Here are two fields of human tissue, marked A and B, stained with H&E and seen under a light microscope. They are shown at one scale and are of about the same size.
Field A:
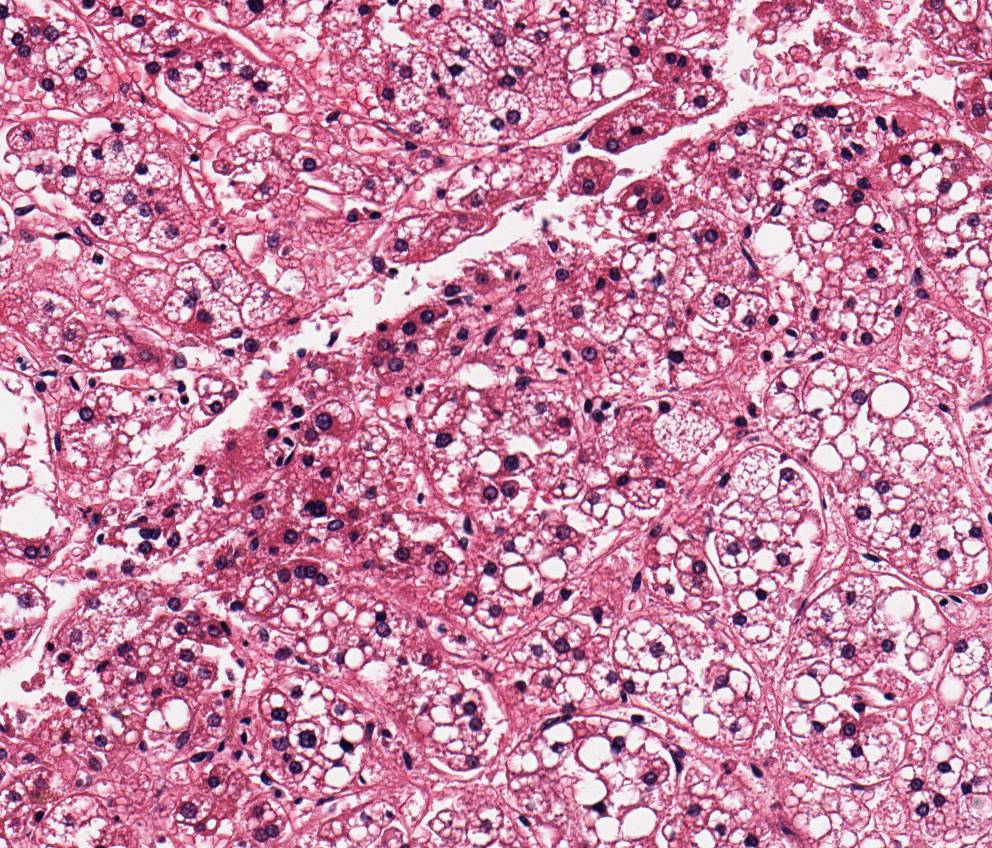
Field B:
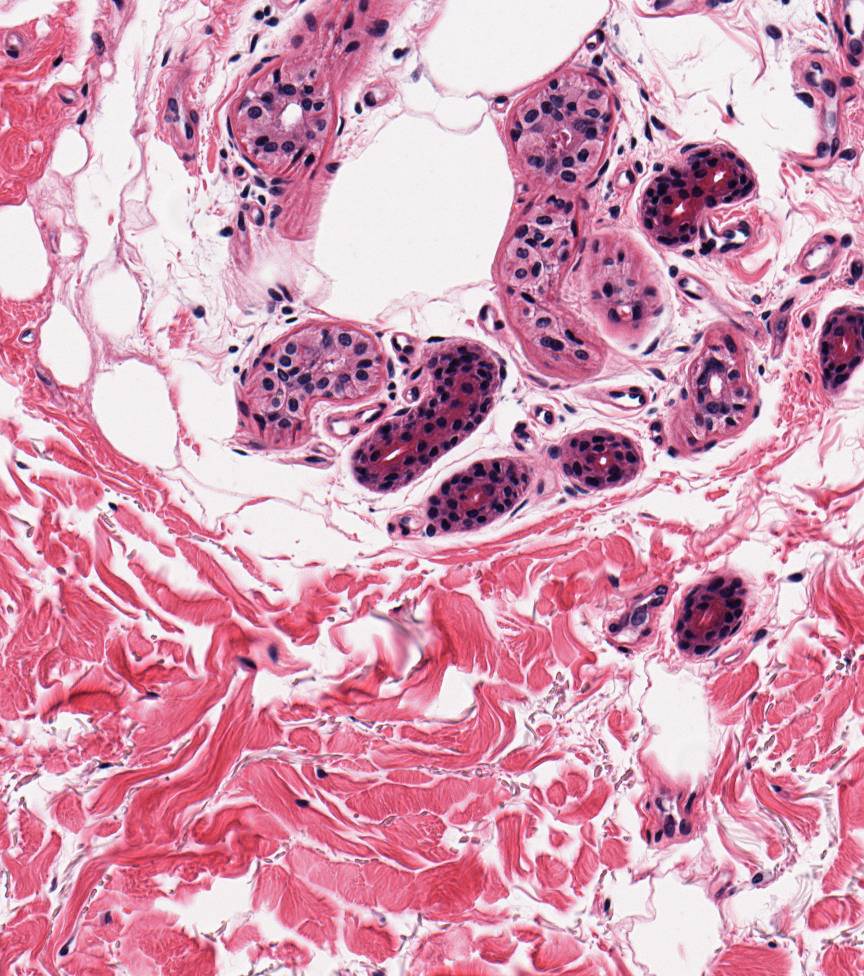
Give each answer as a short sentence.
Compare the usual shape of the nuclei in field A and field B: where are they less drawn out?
Rounder nuclei lie in field A.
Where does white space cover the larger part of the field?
It is field B in which white space covers the larger part.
